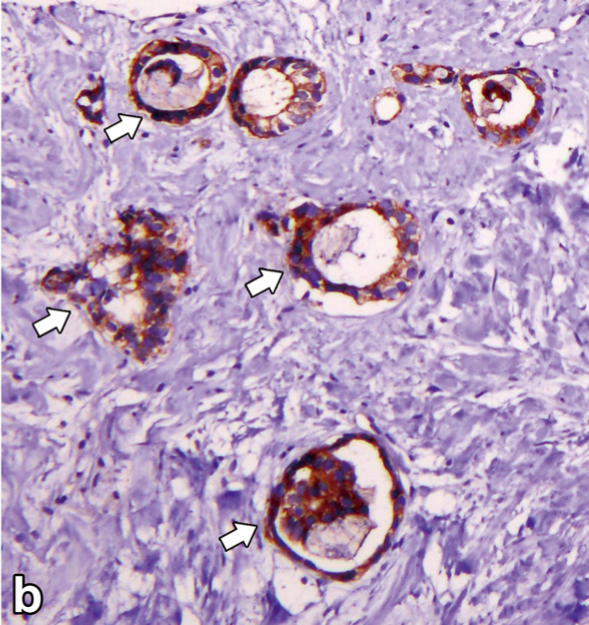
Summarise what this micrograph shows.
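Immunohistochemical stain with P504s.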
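Several gland-like rings and solid clusters of epithelial cells stand out against a blue counterstained fibrous stroma. The cytoplasm of the cells forming these structures is stained brown throughout, while the stroma and its spindle nuclei remain blue. The lumens are open and some contain pale material.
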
